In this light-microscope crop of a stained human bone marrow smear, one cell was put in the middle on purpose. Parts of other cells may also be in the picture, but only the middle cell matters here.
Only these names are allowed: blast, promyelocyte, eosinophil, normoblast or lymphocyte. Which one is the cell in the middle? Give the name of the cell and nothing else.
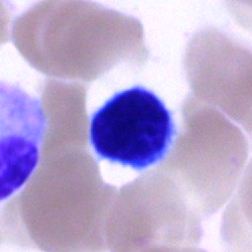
lymphocyte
